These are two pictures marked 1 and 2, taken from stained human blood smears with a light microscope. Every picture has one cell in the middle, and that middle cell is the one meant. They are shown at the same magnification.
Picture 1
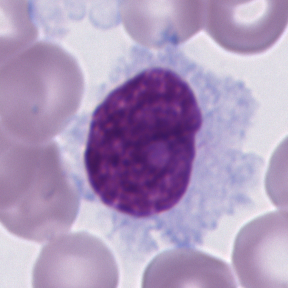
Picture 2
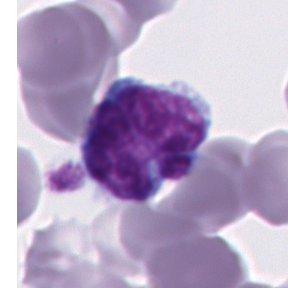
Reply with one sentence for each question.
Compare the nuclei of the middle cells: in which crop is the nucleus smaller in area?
It is the nucleus in picture 2; the one in picture 1 has about 1.5 times its area.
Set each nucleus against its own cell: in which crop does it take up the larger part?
In picture 2 the nucleus takes up the larger part of its cell.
